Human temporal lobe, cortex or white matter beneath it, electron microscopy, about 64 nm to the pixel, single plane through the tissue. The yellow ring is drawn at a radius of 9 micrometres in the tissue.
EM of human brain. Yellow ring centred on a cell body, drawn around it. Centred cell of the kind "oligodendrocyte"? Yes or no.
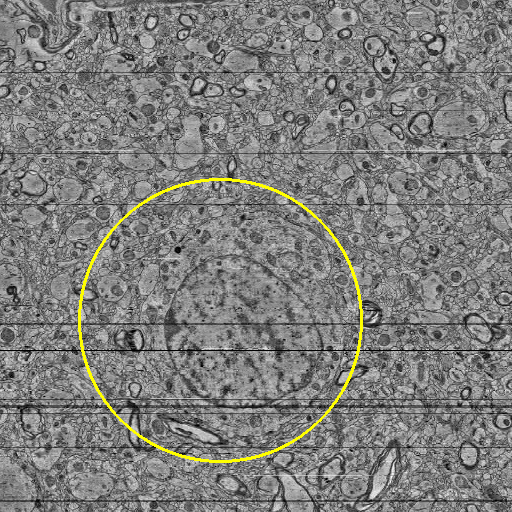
no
